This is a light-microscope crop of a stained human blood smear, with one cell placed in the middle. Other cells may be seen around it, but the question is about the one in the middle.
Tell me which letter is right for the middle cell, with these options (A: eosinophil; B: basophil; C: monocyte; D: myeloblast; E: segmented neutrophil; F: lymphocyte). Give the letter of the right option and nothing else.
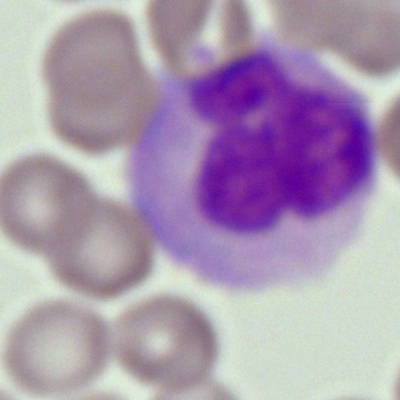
C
